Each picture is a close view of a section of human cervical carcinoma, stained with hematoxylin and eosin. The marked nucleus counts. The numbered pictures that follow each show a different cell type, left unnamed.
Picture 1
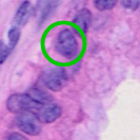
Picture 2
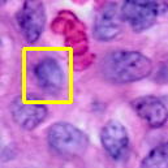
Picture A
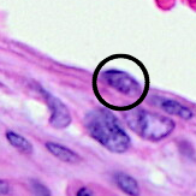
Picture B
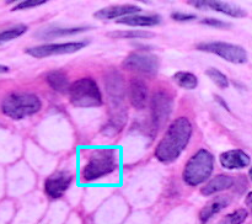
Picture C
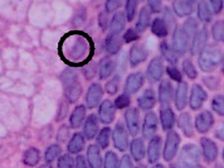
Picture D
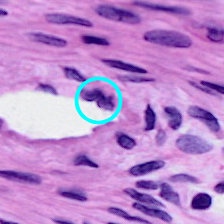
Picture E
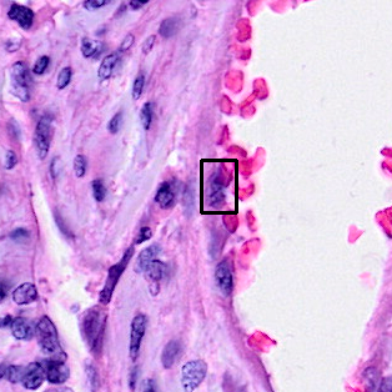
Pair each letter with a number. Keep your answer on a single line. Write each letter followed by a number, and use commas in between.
A 2, B 1, C 1, D 2, E 2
